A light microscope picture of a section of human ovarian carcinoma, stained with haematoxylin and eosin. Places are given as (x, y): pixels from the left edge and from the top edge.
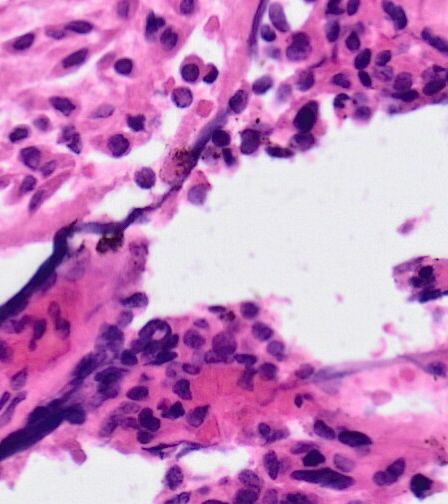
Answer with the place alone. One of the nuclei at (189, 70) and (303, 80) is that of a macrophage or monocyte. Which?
(189, 70)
